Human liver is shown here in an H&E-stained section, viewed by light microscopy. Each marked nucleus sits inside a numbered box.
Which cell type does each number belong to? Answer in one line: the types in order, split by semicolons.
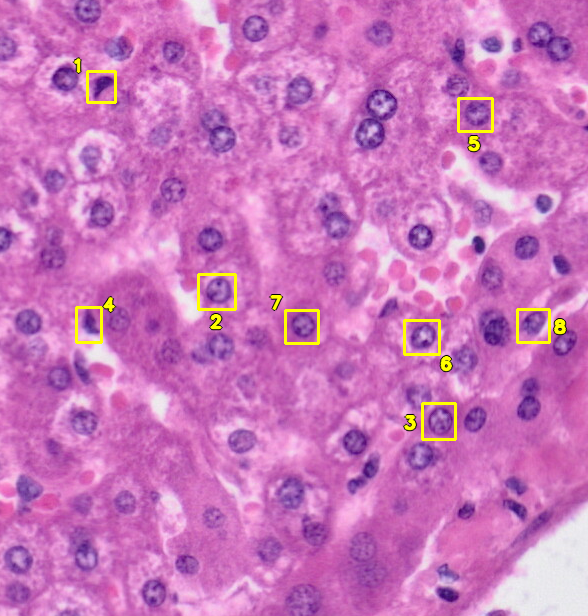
fibroblast or stellate cell; hepatocyte; hepatocyte; endothelial cell; hepatocyte; hepatocyte; hepatocyte; Kupffer cell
